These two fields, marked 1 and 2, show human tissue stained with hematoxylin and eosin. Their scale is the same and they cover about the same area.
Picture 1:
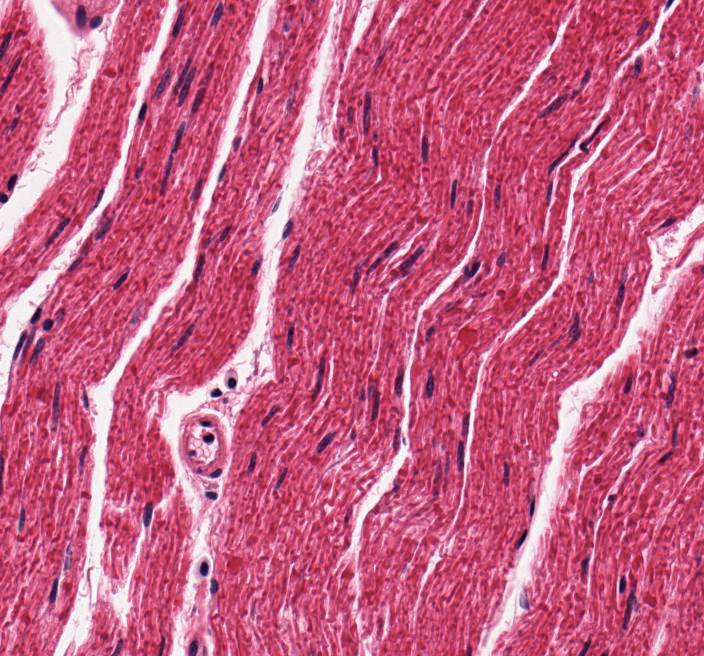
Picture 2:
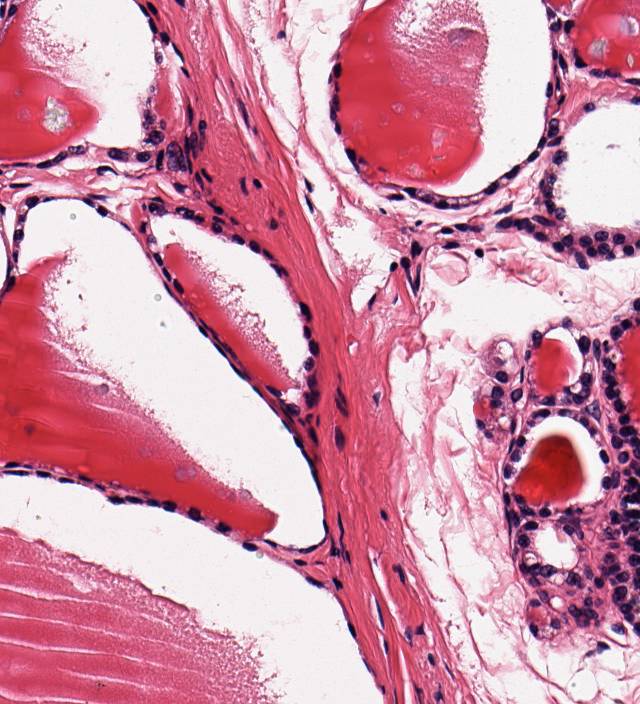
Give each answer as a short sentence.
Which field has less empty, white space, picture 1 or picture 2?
Picture 1 has less white space.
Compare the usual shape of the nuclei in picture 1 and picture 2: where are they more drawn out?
On the whole the nuclei of picture 1 are more drawn out than those of picture 2.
